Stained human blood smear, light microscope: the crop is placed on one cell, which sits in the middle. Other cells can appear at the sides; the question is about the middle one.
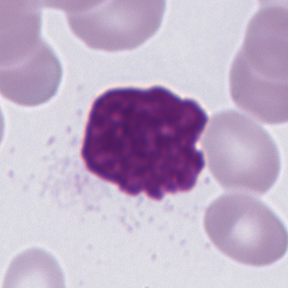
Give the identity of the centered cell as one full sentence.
Looking at the middle of the crop, the cell there is a smudge cell.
